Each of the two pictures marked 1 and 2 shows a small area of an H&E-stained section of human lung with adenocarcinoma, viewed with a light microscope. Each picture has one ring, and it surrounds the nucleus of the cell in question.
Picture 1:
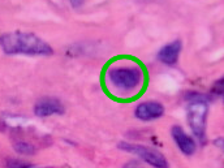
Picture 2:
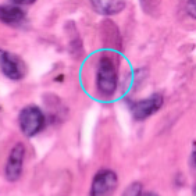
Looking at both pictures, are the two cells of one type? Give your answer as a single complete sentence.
Yes, both cells are plasma cells.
